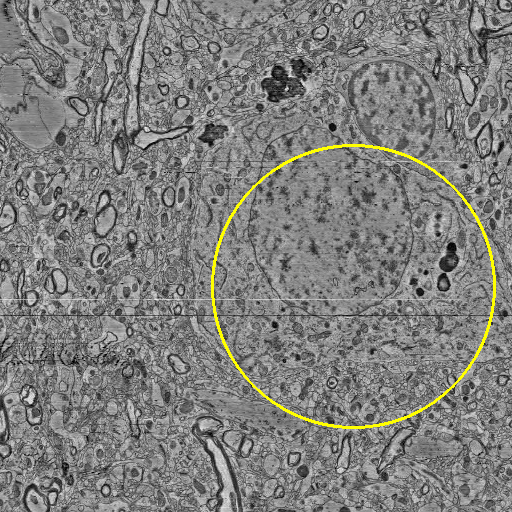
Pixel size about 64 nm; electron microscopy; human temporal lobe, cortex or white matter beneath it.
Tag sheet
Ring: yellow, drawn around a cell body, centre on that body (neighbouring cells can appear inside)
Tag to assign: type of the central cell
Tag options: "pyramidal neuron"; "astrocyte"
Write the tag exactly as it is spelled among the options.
pyramidal neuron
